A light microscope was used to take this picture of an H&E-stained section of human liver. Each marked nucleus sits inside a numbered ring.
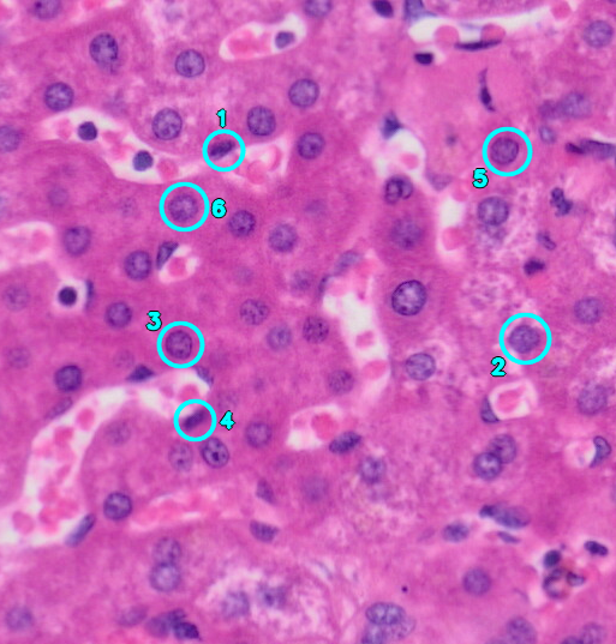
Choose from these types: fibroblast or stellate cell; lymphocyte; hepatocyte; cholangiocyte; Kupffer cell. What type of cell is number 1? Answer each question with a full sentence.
The cell tagged with 1 in this tissue section is a fibroblast or stellate cell.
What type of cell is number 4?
The cell to which the number 4 is assigned is a fibroblast or stellate cell.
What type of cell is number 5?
Cell 5, among those numbered, is a hepatocyte.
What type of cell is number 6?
Cell 6 is classified as a hepatocyte.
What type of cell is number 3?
Here, the cell given the number 3 is a hepatocyte.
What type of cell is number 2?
Recognised here as a hepatocyte is the cell numbered 2.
